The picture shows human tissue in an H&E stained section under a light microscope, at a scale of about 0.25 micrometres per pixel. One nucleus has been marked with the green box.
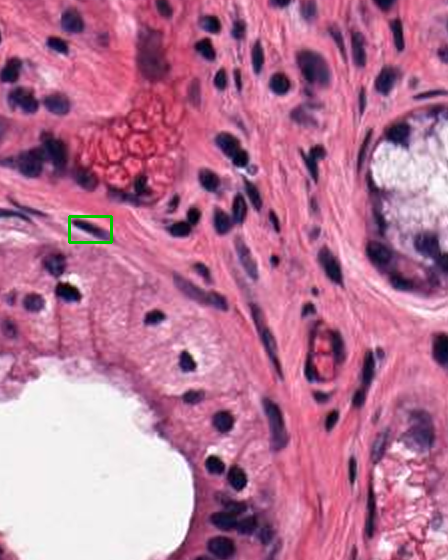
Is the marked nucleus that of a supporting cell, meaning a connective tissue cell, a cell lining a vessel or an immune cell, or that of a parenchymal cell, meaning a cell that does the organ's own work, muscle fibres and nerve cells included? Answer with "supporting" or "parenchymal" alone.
supporting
